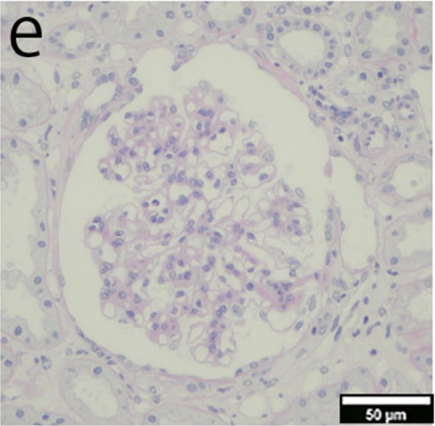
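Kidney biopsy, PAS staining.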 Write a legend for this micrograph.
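A glomerulus with a moderately cellular tuft lies within a wide Bowman's space surrounded by tubules. Capillary loops are mostly open with thin pink walls, and mesangial areas show a mild increase in nuclei. The surrounding tubules are lined by cuboidal epithelial cells with round nuclei.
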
